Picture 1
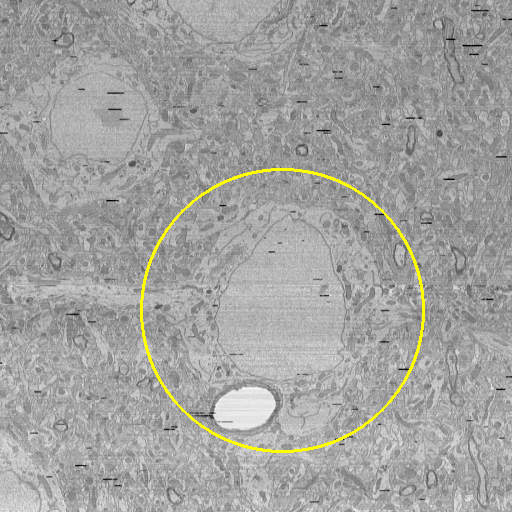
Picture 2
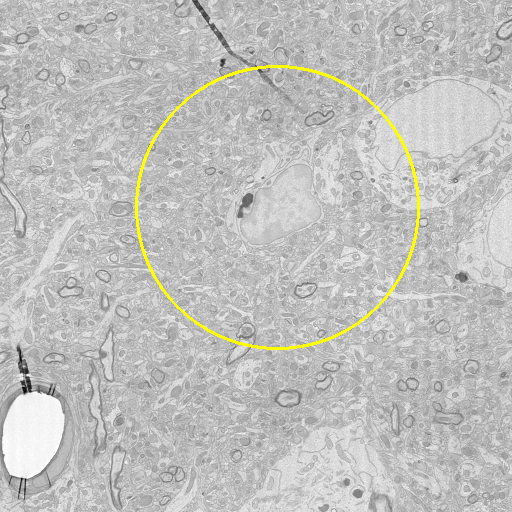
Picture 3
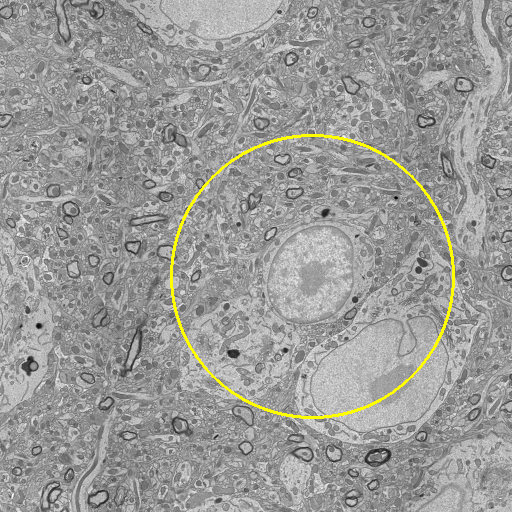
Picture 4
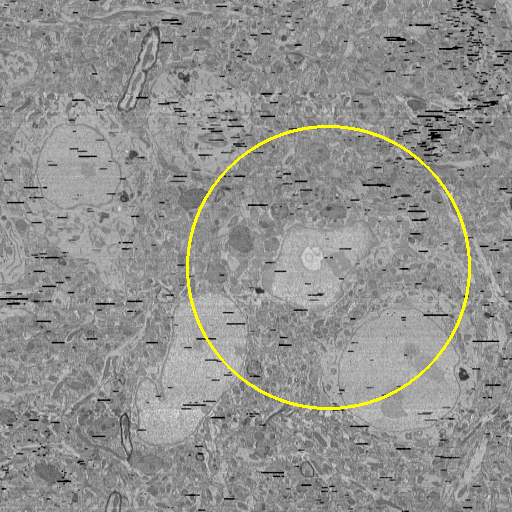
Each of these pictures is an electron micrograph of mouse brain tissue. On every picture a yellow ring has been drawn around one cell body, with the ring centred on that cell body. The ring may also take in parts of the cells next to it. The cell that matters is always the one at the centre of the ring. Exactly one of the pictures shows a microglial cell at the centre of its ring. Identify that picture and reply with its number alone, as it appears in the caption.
2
